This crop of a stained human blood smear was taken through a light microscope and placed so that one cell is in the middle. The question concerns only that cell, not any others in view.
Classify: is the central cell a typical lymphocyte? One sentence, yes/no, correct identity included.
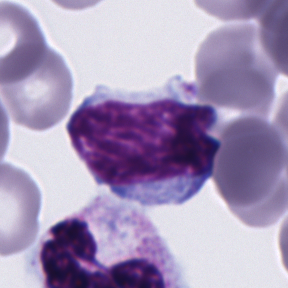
Yes, the cell shown in the middle is a typical lymphocyte.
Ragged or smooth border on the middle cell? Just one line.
The border of the cell is irregular, being either ragged or extended into projections.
